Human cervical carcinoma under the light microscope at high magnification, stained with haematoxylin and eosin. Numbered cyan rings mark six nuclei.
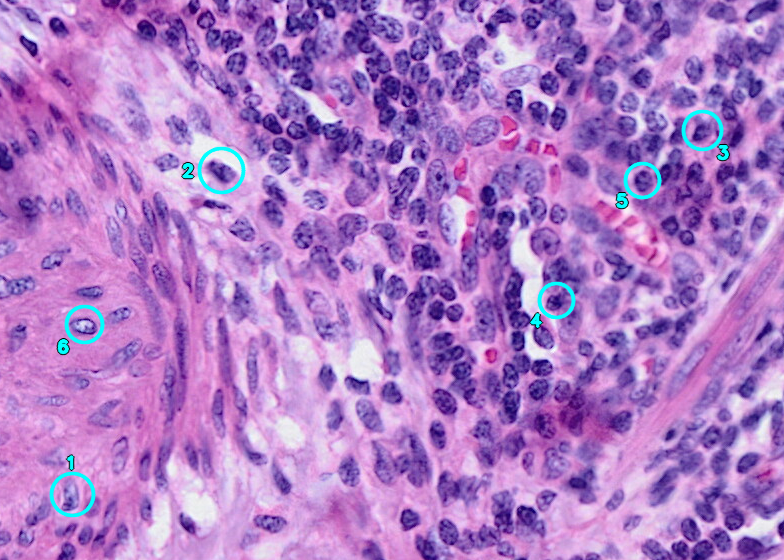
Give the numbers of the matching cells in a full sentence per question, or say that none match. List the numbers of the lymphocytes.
The cells marked with the numbers 2, 3, 4 and 5 are lymphocytes.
